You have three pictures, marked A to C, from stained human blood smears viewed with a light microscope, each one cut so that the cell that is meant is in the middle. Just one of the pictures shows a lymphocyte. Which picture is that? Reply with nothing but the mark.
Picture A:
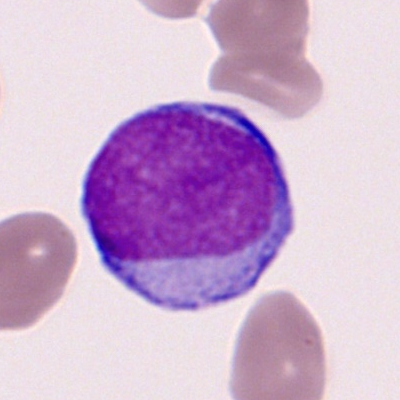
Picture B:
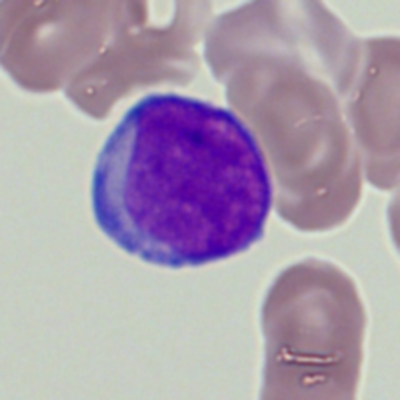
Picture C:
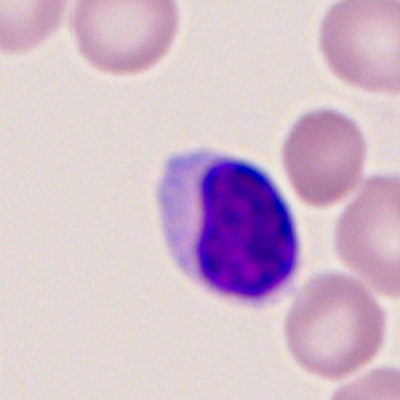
C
